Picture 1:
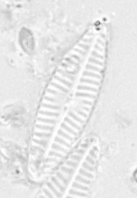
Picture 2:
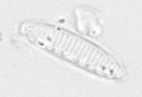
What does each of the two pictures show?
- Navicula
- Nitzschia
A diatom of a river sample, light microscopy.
Picture 1: Navicula
Picture 2: Nitzschia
